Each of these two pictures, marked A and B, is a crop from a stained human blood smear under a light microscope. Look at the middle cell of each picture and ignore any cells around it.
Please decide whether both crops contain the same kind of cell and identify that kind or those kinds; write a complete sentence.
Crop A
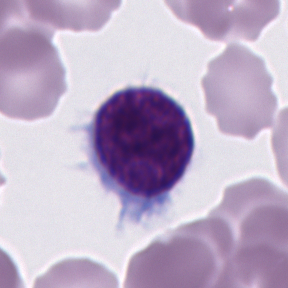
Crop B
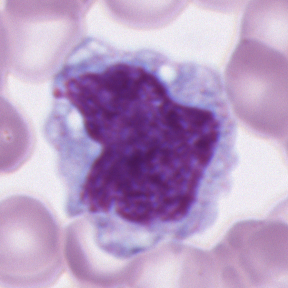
No, crop A shows a hairy cell, and crop B, by contrast, shows a monocyte.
